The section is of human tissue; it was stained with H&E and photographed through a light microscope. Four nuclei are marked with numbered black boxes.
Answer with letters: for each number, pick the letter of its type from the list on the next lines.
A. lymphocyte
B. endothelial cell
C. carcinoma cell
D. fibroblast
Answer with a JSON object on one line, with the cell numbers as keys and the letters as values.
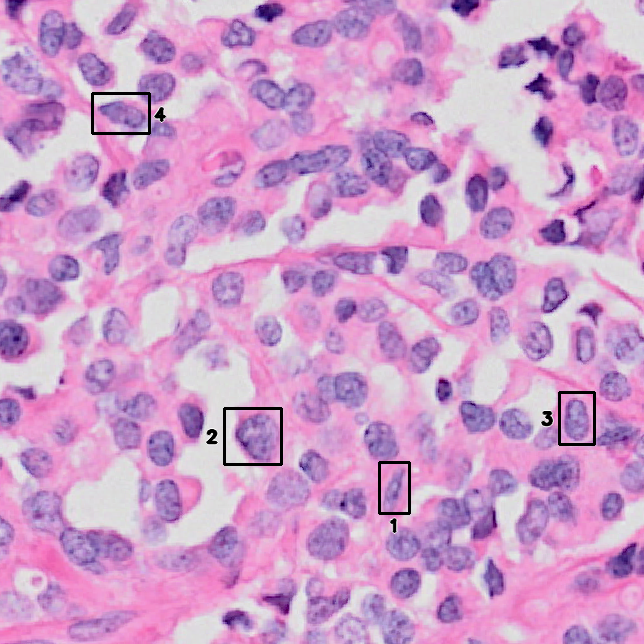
{"1": "B", "2": "C", "3": "C", "4": "C"}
